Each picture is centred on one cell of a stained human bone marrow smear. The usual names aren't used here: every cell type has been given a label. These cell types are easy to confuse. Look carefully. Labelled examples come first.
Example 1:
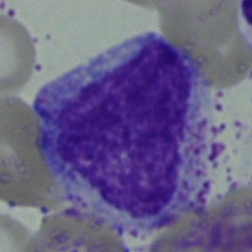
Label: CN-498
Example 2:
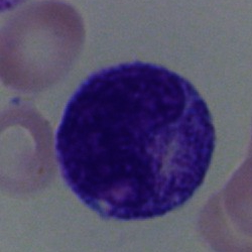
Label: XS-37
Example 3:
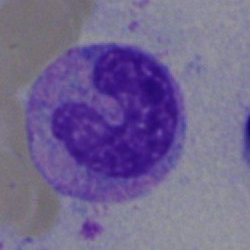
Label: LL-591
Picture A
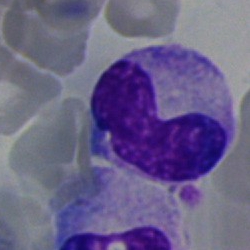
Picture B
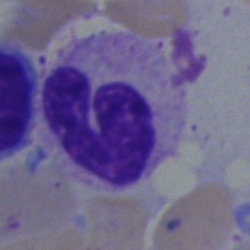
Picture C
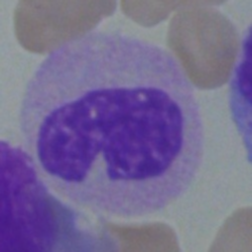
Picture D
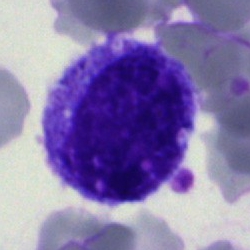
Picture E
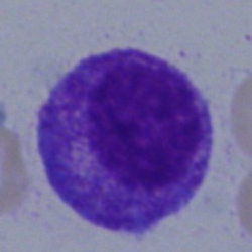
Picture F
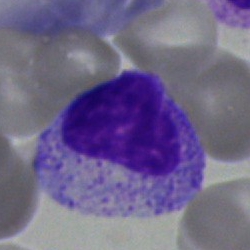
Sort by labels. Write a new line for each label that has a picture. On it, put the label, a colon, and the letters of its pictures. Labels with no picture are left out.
CN-498: F
XS-37: D, E
LL-591: A, B, C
